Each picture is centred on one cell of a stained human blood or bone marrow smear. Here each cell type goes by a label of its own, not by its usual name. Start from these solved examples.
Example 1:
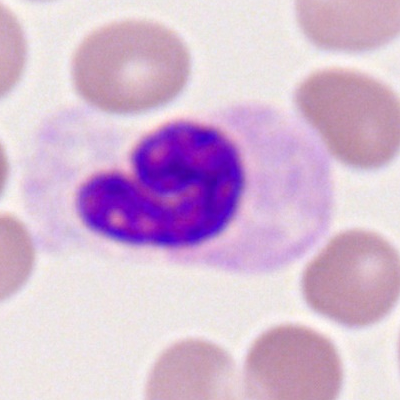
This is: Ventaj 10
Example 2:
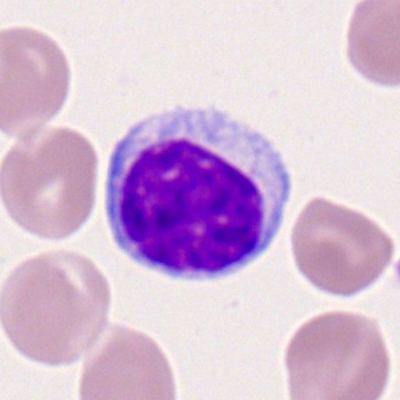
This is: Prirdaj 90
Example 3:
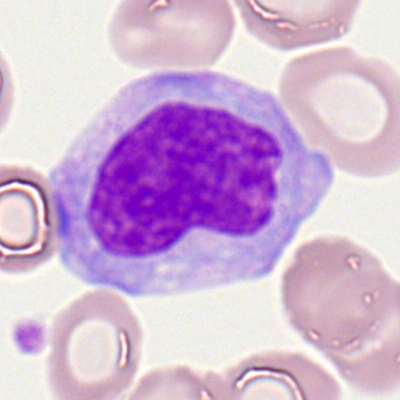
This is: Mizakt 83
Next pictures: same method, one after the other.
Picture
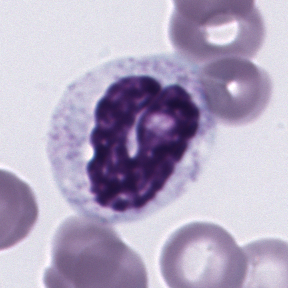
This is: Ventaj 10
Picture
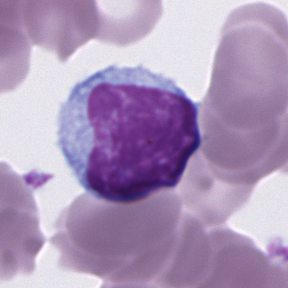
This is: Prirdaj 90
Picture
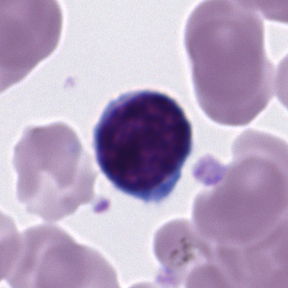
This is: Prirdaj 90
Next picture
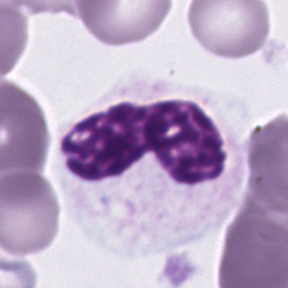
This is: Ventaj 10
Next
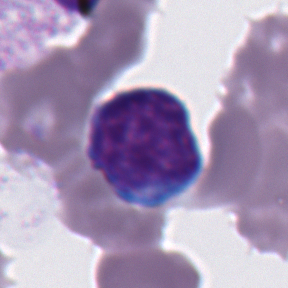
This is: Prirdaj 90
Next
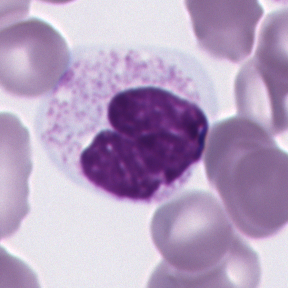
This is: Ventaj 10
